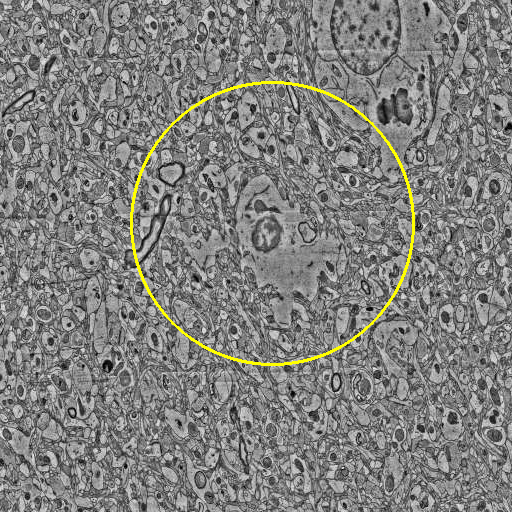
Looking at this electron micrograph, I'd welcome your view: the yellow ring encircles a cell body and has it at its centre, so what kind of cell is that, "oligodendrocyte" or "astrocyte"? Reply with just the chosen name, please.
astrocyte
